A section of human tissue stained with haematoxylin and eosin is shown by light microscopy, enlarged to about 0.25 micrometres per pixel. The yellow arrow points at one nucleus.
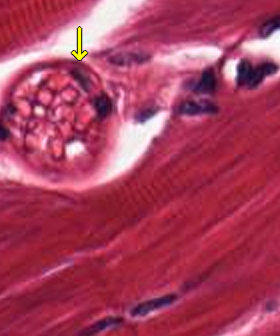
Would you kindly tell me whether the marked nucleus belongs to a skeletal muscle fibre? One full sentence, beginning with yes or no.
No, a supporting cell is the one to which the marked nucleus belongs, not a skeletal muscle fibre.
